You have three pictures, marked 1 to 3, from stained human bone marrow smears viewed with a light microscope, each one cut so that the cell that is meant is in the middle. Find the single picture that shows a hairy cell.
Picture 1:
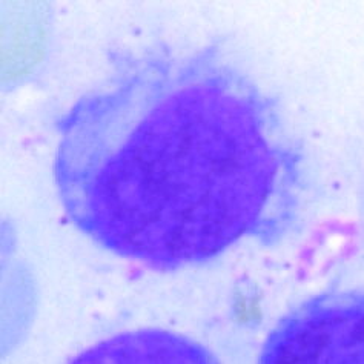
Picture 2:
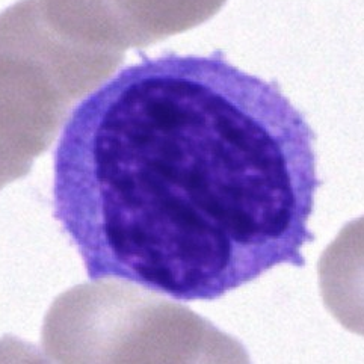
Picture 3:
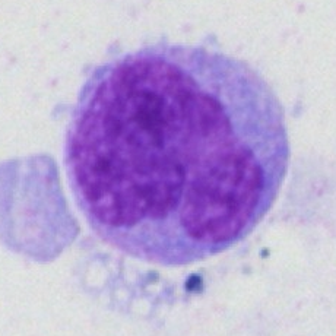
1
